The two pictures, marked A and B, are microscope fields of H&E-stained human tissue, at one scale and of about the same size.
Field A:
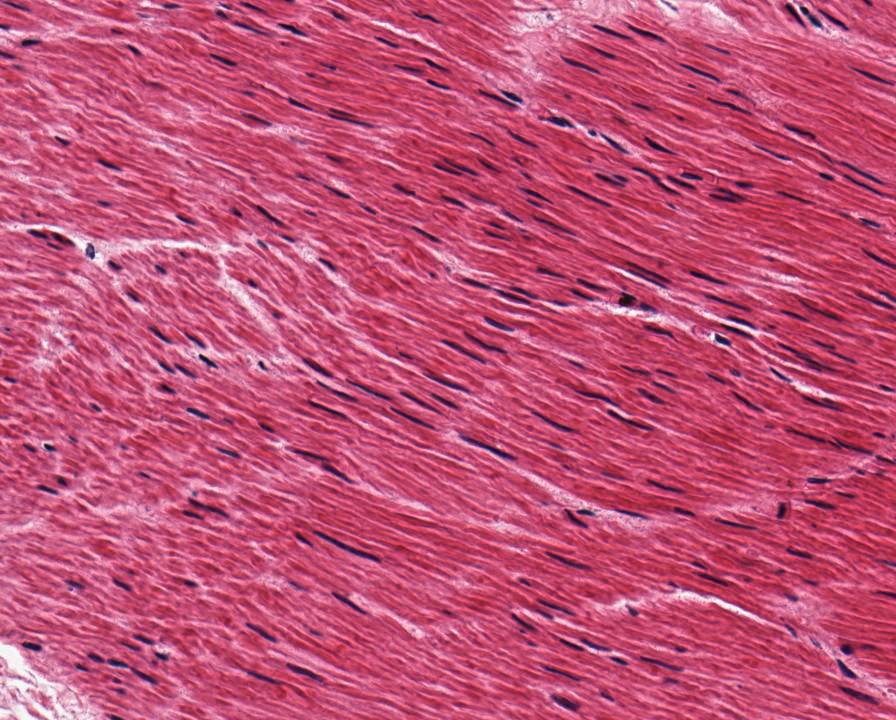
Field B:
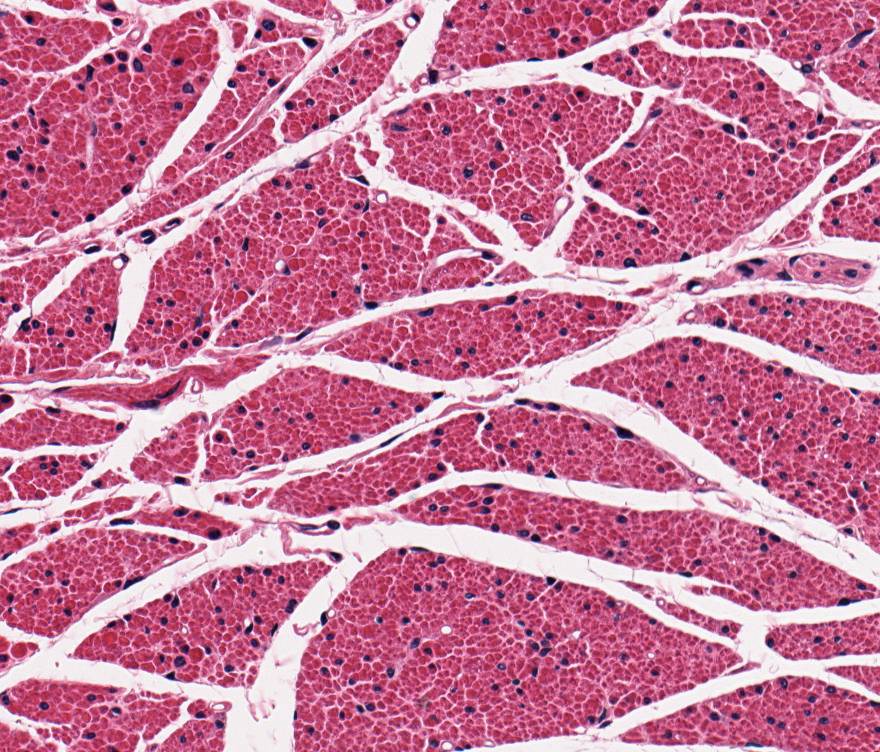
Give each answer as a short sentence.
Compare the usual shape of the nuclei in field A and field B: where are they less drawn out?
It is field B whose nuclei are the rounder.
